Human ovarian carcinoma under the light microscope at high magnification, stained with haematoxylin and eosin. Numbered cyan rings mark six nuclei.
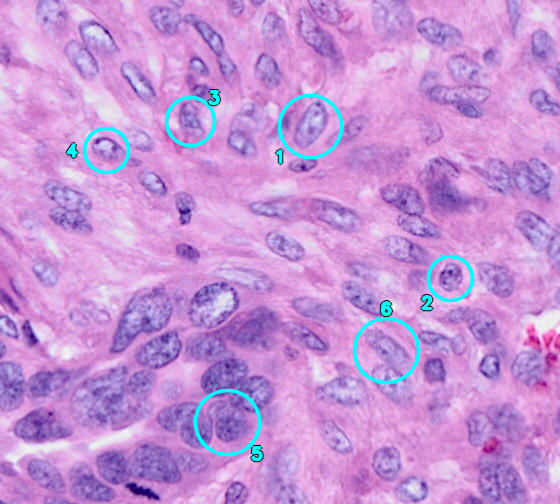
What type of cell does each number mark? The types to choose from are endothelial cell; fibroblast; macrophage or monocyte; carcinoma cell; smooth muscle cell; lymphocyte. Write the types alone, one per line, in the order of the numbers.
fibroblast
macrophage or monocyte
fibroblast
fibroblast
carcinoma cell
fibroblast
